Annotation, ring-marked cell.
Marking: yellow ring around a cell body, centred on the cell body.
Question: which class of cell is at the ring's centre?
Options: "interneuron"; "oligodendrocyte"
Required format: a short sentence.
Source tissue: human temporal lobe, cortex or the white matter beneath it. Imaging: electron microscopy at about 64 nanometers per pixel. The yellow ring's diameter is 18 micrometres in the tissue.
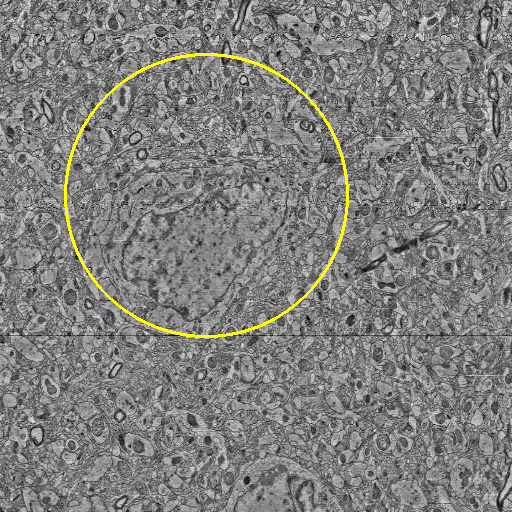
At the ring's centre is an interneuron.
